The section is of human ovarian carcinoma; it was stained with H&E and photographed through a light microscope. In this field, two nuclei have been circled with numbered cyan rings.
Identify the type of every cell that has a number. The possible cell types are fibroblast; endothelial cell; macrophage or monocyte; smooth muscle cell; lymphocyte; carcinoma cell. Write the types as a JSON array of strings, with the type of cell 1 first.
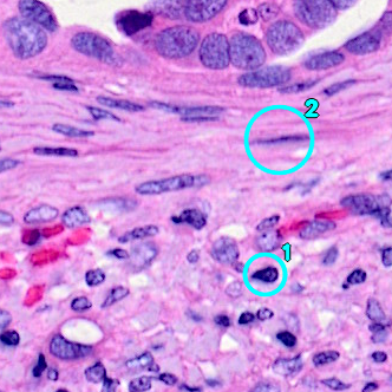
["lymphocyte", "fibroblast"]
